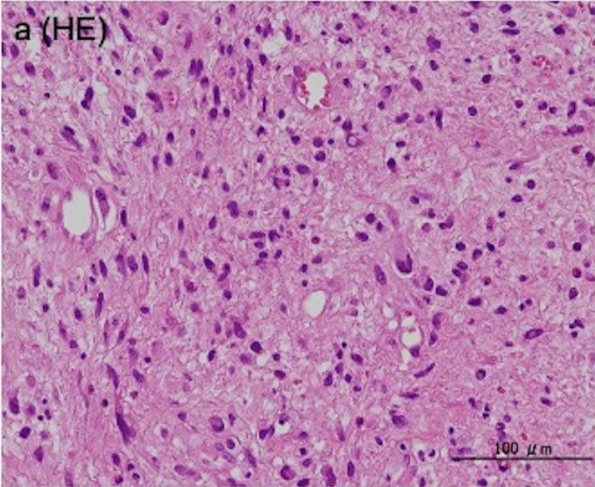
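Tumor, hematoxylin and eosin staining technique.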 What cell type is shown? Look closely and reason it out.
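Many cells have elongated, spindle-shaped nuclei. Nuclei vary widely in size and shape from cell to cell. Cells lie scattered in a pale pink fibrillary matrix. On this evidence: spindle shaped and pleomorphic cells.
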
